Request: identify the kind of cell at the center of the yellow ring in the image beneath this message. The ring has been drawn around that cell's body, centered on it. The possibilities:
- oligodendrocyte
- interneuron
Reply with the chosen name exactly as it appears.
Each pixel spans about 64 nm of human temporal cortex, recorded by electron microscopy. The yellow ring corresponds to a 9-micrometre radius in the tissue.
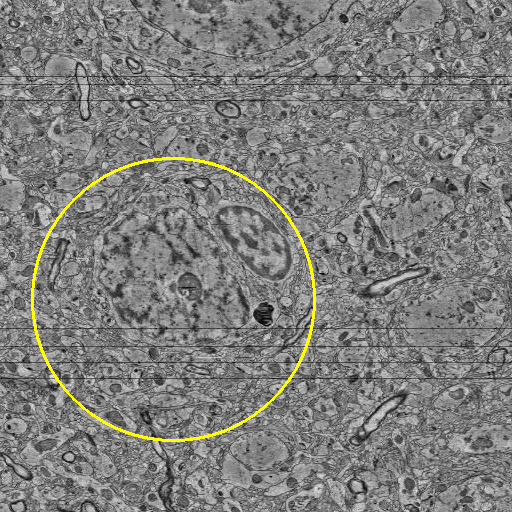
interneuron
